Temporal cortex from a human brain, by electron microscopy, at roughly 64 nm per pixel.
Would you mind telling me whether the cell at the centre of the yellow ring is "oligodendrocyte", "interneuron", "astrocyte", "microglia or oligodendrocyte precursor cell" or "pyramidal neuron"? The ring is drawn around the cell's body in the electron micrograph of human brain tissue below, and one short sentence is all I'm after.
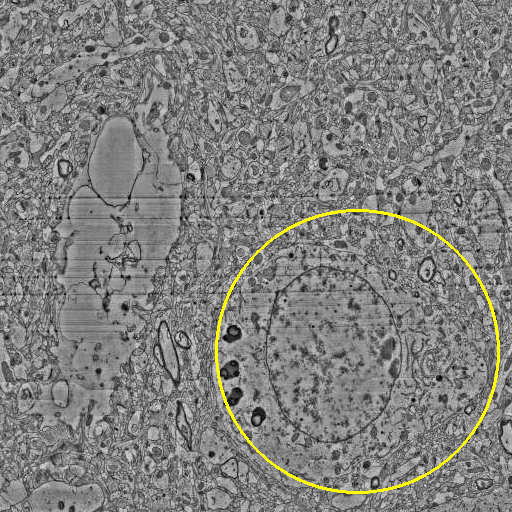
In the centre of the ring lies a pyramidal neuron.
